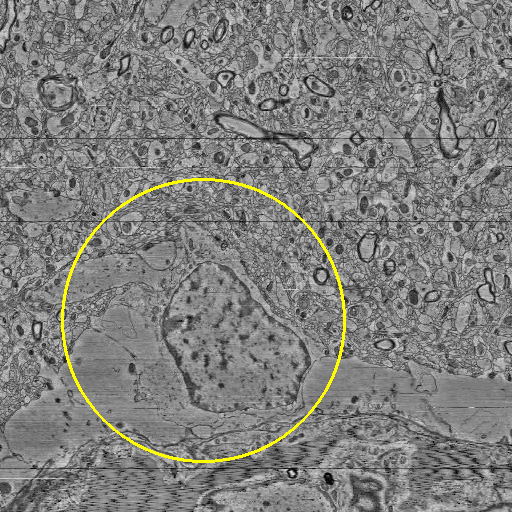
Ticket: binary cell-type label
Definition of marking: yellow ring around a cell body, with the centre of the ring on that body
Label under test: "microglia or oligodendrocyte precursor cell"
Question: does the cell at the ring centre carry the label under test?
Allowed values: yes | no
yes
